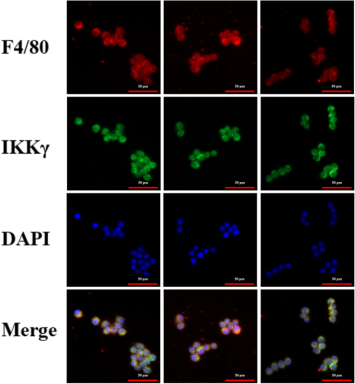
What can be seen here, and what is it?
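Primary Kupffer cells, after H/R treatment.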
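The grid shows small round cultured cells lying singly or in loose clusters of a few to about a dozen cells. The rows differ by colour. In one row the red signal fills each cell body and outlines it. In another row the green signal lies within the rounded cell bodies. In a third row blue, round nuclei take up much of each cell. In the merged row the colours overlap on the same rounded cells.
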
